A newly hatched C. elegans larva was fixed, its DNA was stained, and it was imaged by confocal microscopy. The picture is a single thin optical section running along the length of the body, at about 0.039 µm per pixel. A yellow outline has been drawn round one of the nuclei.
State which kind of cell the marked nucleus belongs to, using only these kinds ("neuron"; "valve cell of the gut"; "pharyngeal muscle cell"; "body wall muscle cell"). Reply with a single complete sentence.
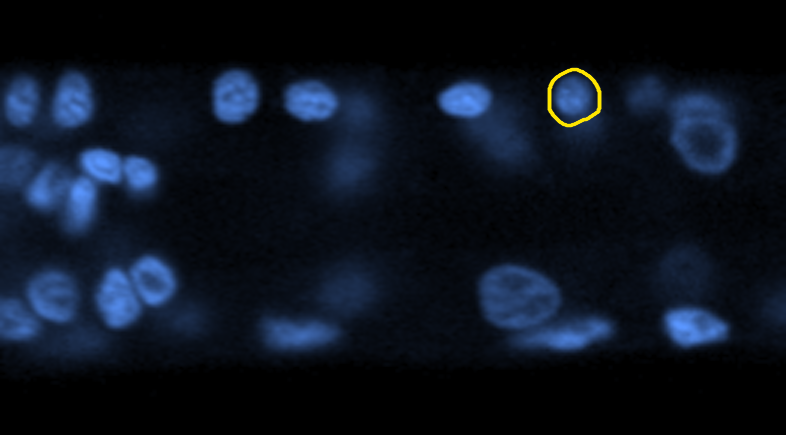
It belongs to a neuron.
